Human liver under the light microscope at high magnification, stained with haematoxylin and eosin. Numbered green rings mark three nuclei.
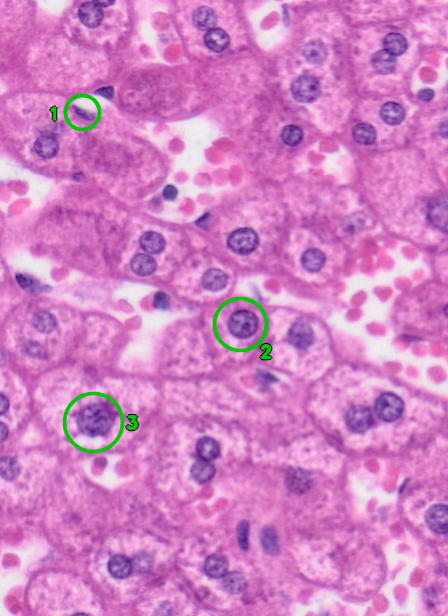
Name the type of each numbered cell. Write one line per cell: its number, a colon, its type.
1: endothelial cell
2: hepatocyte
3: hepatocyte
